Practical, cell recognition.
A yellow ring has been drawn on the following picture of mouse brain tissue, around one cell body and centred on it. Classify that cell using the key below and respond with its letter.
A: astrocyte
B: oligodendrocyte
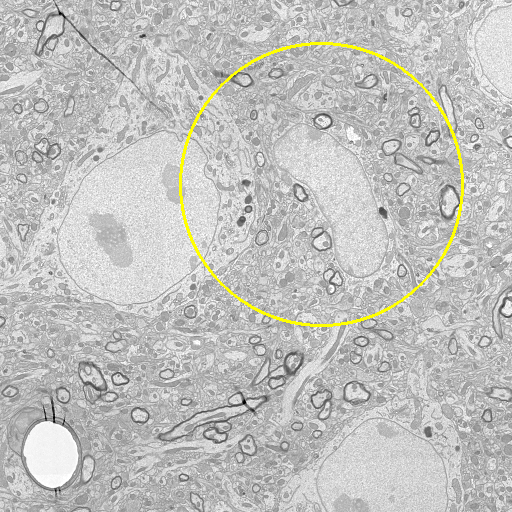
A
